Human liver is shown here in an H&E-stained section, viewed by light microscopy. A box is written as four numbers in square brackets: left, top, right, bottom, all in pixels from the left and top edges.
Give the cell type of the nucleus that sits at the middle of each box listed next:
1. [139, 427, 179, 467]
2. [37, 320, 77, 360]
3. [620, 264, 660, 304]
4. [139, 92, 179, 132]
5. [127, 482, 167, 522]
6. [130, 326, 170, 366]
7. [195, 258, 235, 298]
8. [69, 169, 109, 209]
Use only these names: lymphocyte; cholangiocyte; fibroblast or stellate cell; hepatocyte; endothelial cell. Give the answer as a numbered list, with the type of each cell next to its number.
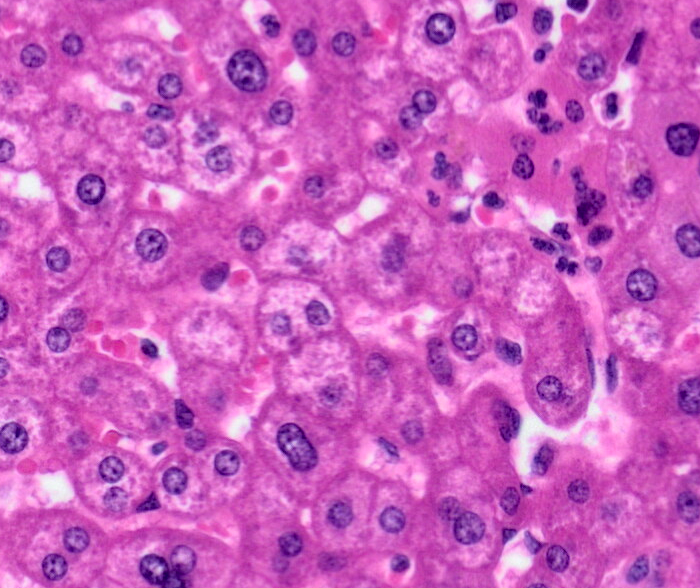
1. lymphocyte
2. hepatocyte
3. hepatocyte
4. fibroblast or stellate cell
5. fibroblast or stellate cell
6. lymphocyte
7. endothelial cell
8. hepatocyte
